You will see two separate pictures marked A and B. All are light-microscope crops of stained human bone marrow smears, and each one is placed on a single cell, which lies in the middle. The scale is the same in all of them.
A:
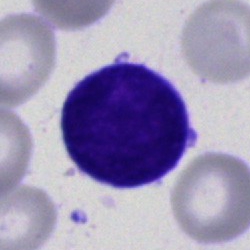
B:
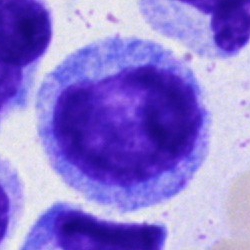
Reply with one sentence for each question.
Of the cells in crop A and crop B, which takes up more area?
It is the cell in crop B, about 1.5 times as large in area as the cell in crop A.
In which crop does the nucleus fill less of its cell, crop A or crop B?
In crop B the nucleus takes up the smaller part of its cell.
